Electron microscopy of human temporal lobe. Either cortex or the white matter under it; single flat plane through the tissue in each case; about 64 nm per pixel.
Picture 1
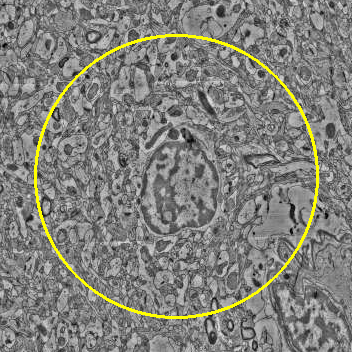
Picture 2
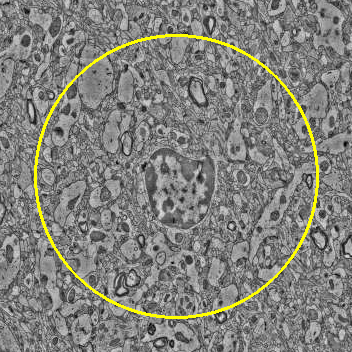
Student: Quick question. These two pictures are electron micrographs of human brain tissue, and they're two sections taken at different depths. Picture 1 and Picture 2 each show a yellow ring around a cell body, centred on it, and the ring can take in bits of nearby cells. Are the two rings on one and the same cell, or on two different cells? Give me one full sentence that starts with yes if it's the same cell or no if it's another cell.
No, the two rings mark two different cells.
